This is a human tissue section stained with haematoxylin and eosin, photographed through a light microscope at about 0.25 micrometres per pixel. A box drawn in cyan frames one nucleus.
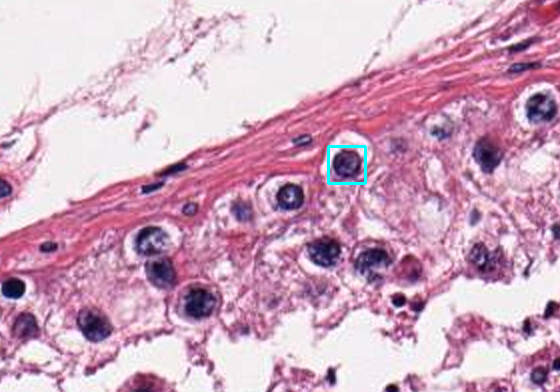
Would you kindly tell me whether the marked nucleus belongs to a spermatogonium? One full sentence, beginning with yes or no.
Yes, the marked nucleus is held by a spermatogonium.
